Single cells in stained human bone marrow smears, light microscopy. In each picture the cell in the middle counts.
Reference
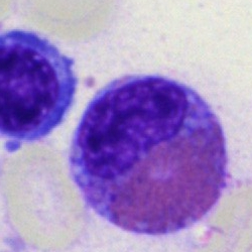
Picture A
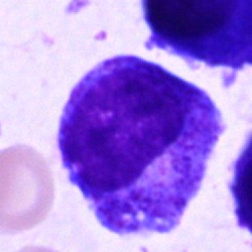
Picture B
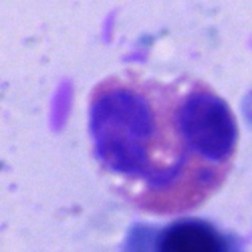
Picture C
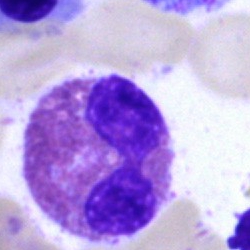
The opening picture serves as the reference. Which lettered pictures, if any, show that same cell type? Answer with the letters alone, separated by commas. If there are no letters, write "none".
B, C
